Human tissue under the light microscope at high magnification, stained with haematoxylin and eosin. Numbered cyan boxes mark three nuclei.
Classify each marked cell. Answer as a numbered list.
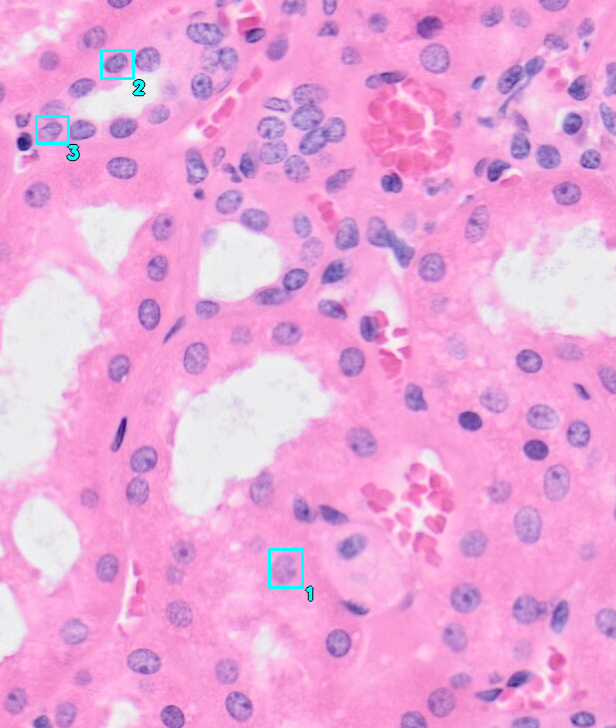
1. proximal tubule cell
2. collecting duct cell
3. collecting duct cell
